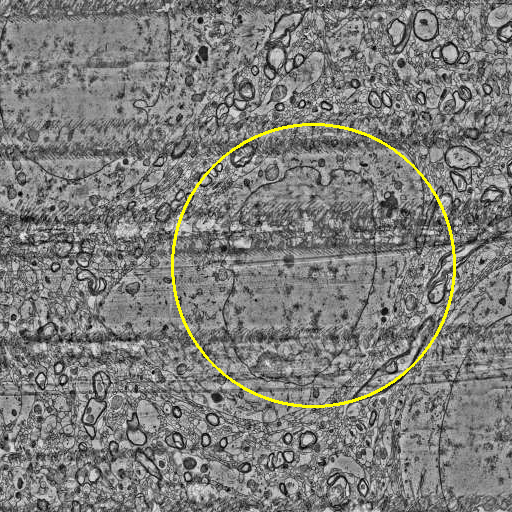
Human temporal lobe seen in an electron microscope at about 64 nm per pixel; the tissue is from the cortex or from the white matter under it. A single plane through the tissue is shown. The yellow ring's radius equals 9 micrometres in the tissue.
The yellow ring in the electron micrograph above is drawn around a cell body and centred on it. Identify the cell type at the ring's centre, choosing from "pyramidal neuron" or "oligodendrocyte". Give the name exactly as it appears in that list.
pyramidal neuron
